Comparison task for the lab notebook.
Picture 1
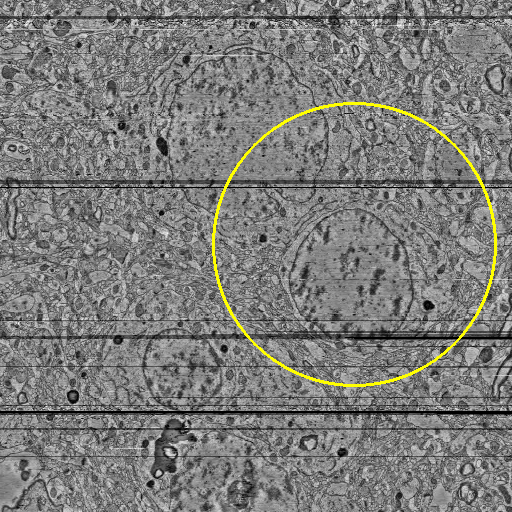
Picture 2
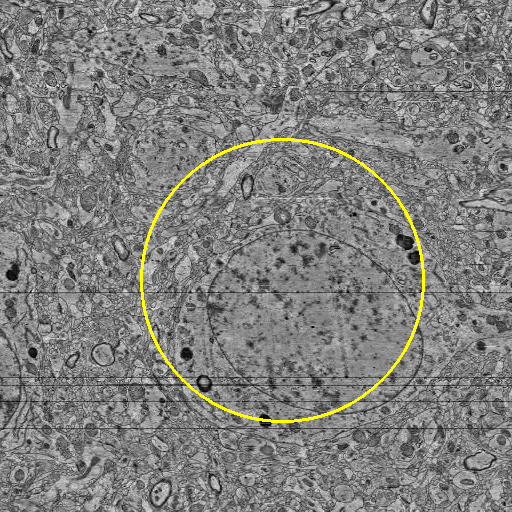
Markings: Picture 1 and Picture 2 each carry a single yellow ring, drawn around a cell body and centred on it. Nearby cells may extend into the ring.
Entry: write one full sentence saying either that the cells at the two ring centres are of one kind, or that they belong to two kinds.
The cells sitting at the ring centres in Picture 1 and Picture 2 are of one kind.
